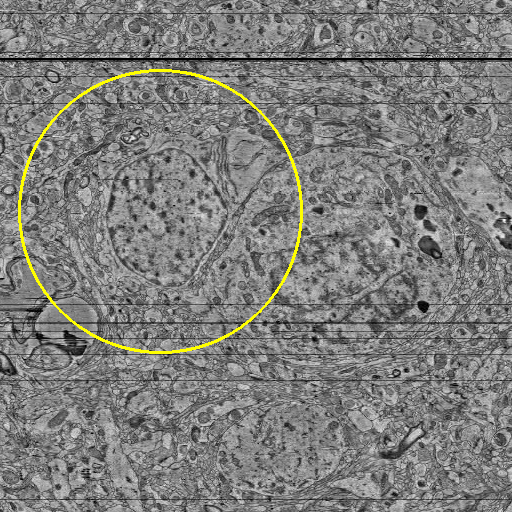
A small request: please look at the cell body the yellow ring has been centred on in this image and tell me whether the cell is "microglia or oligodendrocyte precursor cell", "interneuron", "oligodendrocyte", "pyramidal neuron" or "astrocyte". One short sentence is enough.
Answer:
The cell marked by the ring is an astrocyte.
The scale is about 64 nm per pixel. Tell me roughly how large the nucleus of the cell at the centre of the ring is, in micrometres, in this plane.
In this plane, roughly 9 by 8 micrometres.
